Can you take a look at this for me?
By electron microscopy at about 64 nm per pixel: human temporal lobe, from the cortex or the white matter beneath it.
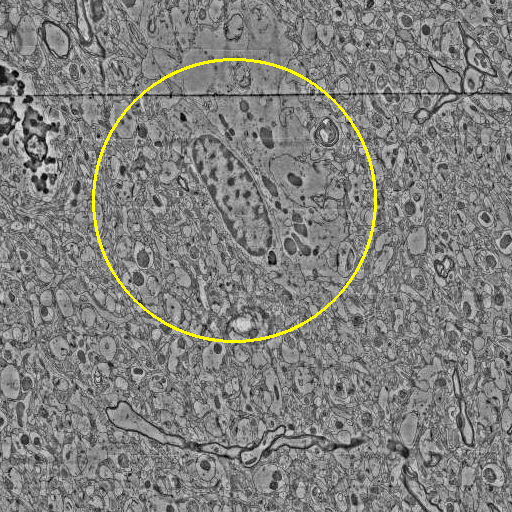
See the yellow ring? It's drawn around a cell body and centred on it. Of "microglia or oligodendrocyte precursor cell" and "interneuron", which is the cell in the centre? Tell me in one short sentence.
The one in the centre is a microglial cell or oligodendrocyte precursor cell.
